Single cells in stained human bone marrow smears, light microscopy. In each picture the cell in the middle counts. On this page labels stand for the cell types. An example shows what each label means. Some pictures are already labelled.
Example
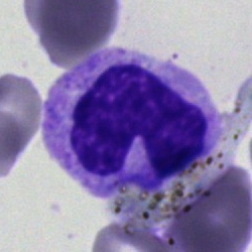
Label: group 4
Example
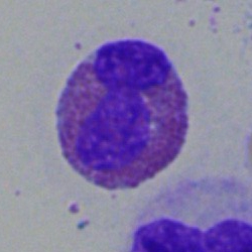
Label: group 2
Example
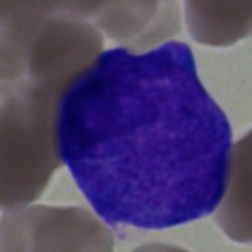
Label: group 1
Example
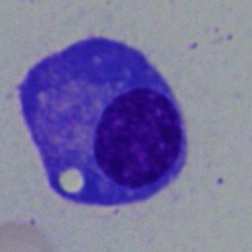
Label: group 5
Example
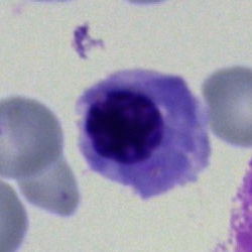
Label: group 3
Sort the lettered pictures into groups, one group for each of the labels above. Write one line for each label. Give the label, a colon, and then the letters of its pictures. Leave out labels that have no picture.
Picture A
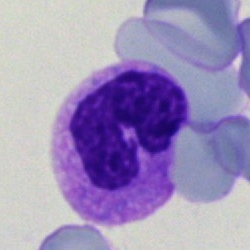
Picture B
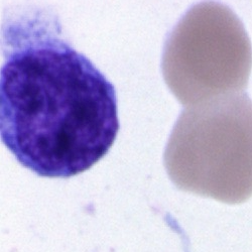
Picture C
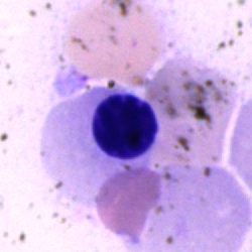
group 4: A
group 1: B
group 3: C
